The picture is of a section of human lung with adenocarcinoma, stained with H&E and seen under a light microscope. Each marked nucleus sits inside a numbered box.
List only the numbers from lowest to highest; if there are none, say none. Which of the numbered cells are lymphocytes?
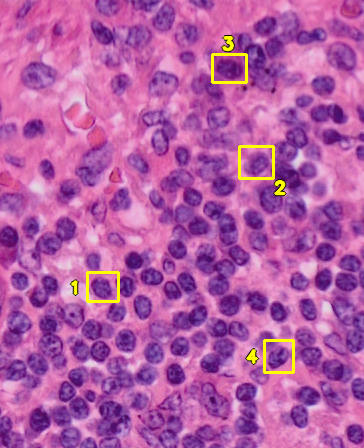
1, 2, 4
